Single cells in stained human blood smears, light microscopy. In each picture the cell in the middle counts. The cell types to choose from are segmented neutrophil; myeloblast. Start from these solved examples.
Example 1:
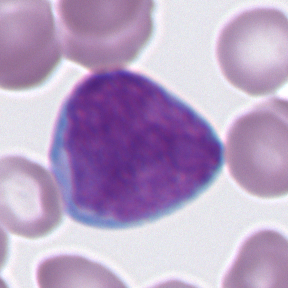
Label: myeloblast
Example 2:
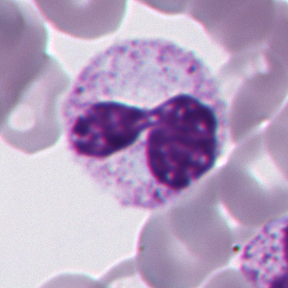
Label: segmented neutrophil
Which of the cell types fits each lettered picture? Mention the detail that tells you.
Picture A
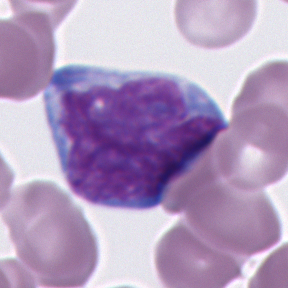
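myeloblast. Evidence: The cytoplasm forms a narrow rim that is widest at the upper left.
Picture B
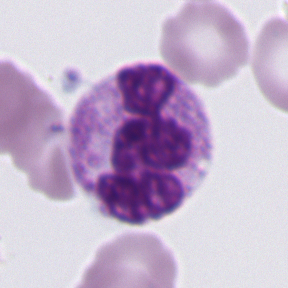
segmented neutrophil. Evidence: The nucleus is divided into several lobes stacked from top to bottom.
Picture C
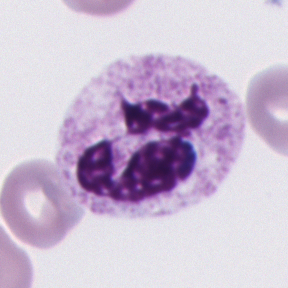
segmented neutrophil. Evidence: The cytoplasm is plentiful and pale pinkish-lilac.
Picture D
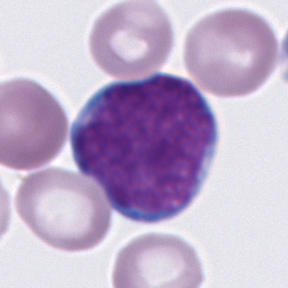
myeloblast. Evidence: The cytoplasm forms only a thin rim around the nucleus.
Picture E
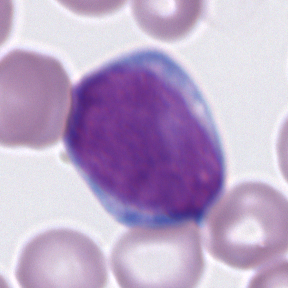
myeloblast. Evidence: The cytoplasm forms only a thin rim around the nucleus.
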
